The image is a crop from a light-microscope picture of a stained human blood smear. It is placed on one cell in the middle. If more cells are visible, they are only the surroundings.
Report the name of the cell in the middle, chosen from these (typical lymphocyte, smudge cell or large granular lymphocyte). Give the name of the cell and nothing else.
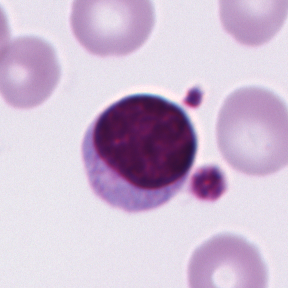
typical lymphocyte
